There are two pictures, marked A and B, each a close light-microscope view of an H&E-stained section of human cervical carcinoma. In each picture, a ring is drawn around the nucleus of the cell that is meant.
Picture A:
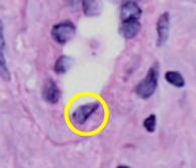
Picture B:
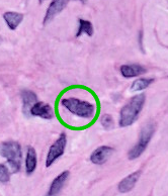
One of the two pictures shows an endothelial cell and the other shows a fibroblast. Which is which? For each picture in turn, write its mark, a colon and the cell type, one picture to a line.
A: endothelial cell
B: fibroblast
